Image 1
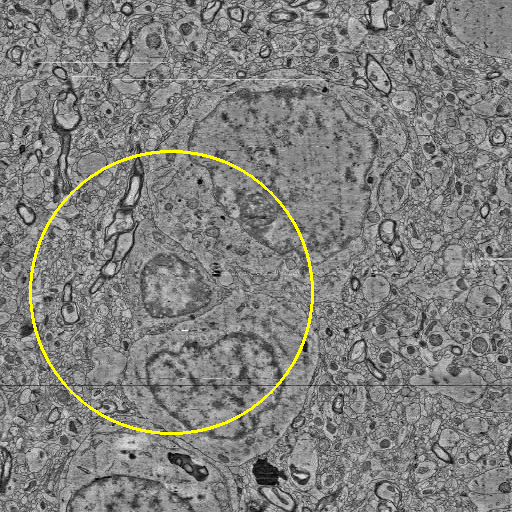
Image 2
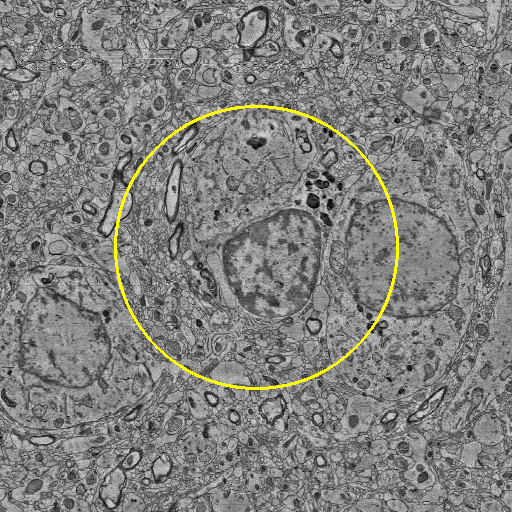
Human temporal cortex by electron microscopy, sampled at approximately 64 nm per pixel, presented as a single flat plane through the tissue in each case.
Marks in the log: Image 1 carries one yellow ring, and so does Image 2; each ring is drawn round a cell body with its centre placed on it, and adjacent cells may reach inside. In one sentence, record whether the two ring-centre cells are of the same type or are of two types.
The two cells at the ring centres, one in each image, are of two types.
